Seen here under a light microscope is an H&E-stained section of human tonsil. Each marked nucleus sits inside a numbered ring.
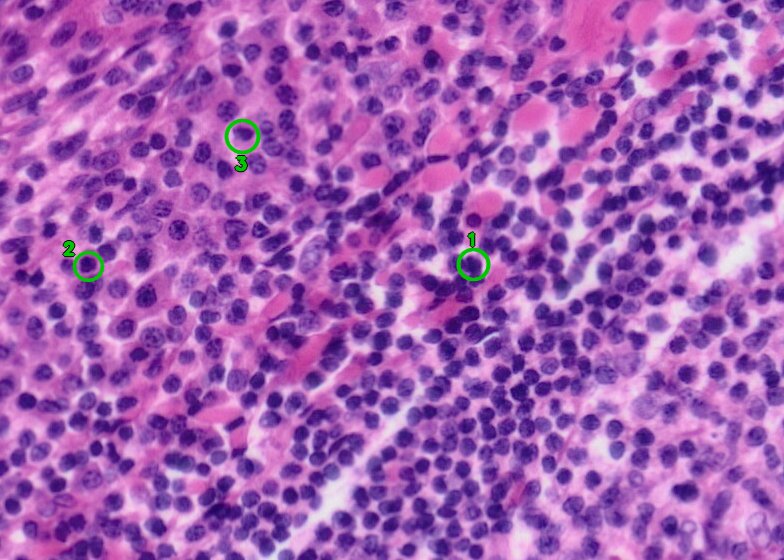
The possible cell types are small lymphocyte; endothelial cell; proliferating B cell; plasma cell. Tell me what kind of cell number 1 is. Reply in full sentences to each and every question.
Here the cell numbered 1 is a small lymphocyte.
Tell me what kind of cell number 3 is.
What the number 3 marks in this field is a plasma cell.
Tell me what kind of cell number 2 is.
The cell to which the number 2 is assigned is a plasma cell.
